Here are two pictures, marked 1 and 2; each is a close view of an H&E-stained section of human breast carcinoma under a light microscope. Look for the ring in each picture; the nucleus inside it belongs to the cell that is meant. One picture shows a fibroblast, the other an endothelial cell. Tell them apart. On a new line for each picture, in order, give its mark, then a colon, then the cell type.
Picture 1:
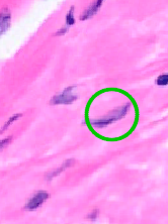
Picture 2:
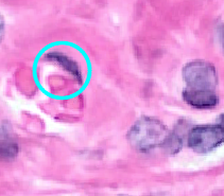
1: fibroblast
2: endothelial cell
